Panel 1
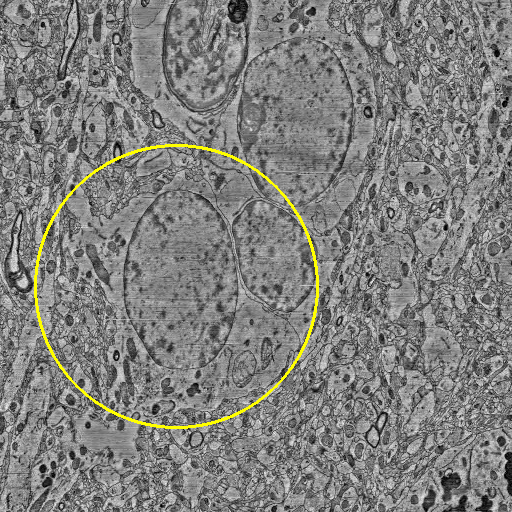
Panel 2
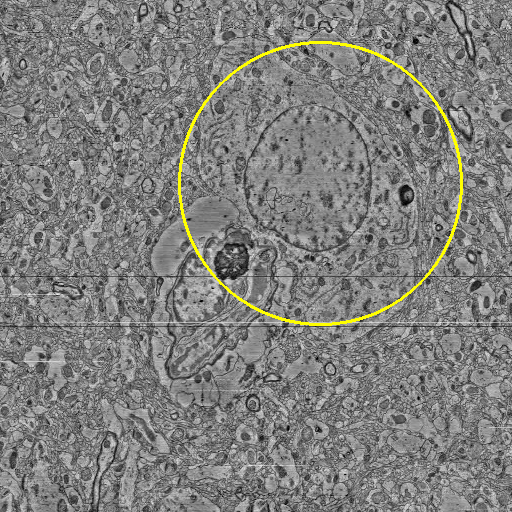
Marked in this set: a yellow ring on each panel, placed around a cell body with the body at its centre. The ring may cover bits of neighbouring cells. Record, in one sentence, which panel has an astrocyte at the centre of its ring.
Panel 1 has it at the centre of its ring.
